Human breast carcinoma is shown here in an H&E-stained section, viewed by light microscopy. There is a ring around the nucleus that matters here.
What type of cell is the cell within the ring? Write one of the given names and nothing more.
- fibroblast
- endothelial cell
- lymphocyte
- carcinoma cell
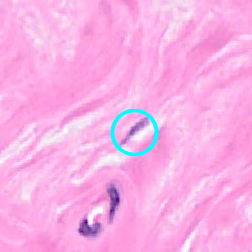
fibroblast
